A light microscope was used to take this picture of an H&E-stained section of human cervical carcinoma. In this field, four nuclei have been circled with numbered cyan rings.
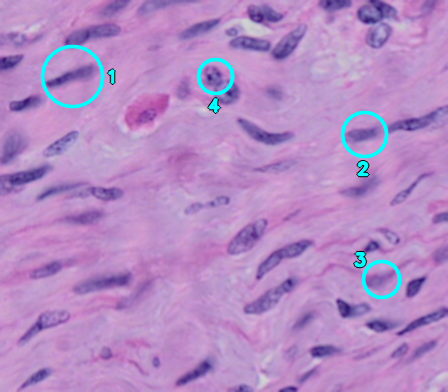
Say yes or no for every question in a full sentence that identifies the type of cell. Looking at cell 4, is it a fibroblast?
No, the nucleus numbered 4 belongs to an endothelial cell, not a fibroblast.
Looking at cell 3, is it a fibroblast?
No, cell 3 should be read as a smooth muscle cell instead of a fibroblast.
